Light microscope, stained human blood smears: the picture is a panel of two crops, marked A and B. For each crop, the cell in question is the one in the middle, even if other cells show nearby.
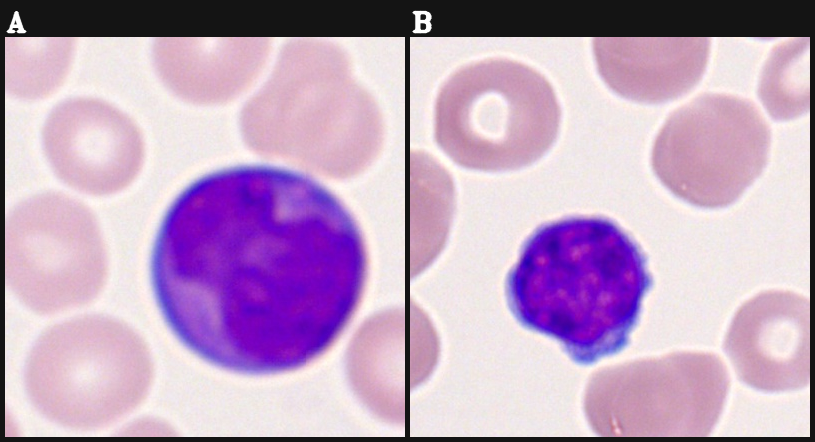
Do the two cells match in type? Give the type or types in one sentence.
No, a myeloblast lies at the centre of crop A, and a lymphocyte lies at the centre of crop B.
